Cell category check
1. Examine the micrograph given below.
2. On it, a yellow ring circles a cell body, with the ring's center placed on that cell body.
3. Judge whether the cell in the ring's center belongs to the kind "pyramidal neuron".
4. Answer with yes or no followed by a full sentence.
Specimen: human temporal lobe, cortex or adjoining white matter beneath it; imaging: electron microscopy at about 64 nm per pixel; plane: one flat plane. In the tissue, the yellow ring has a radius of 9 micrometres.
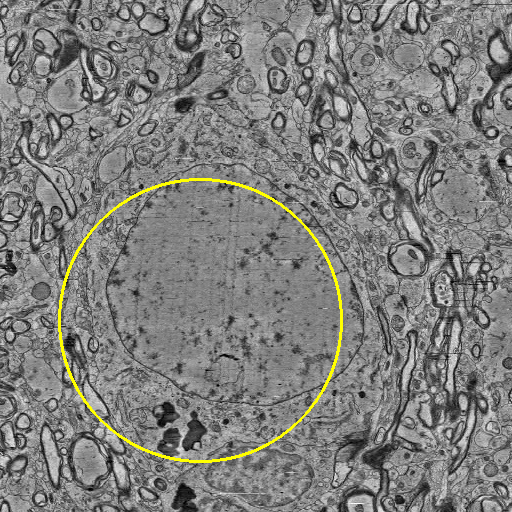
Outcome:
Yes, the cell at the center of the yellow ring belongs to that kind.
